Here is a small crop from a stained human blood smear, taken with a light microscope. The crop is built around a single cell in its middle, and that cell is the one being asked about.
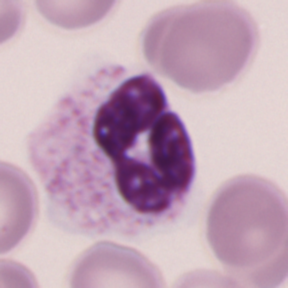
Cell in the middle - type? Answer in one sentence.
Located at the centre of the crop is a segmented neutrophil.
